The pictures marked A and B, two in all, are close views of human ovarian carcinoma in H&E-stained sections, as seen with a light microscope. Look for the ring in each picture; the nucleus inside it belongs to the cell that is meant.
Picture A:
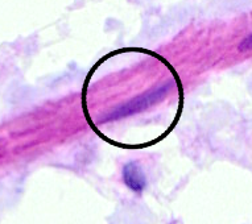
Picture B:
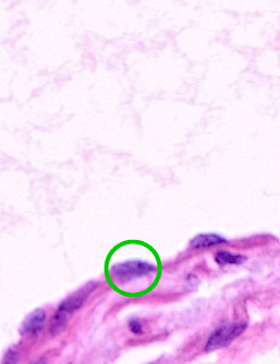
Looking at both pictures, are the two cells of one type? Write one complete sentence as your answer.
No, they differ: the cell is a smooth muscle cell in picture A and an endothelial cell in picture B.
